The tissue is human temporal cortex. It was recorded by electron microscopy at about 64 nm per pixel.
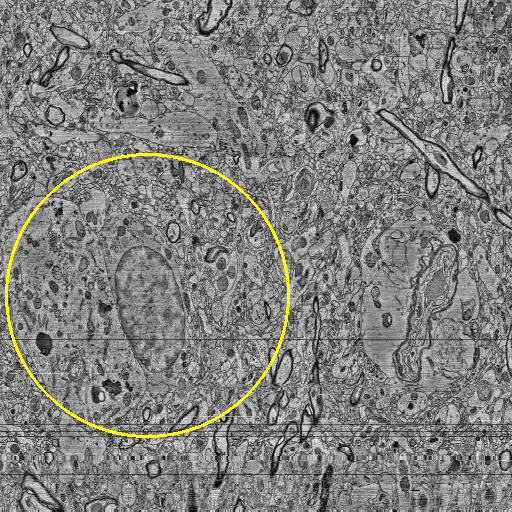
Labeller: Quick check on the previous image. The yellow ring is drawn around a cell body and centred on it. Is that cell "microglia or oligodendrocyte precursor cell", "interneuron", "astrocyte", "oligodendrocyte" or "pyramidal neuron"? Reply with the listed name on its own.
oligodendrocyte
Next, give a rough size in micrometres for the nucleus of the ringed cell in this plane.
The nucleus comes to roughly 8 by 4 micrometres in this plane.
